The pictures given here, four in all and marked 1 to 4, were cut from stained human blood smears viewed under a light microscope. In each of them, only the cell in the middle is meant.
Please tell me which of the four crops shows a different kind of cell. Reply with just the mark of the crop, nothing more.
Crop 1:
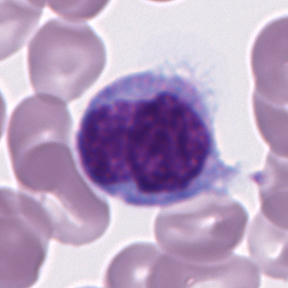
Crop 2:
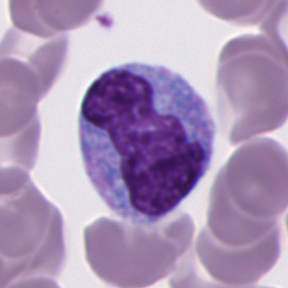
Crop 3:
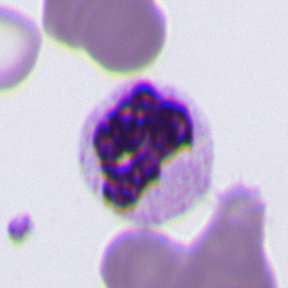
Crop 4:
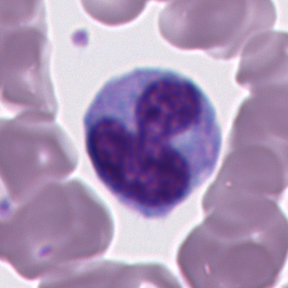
3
